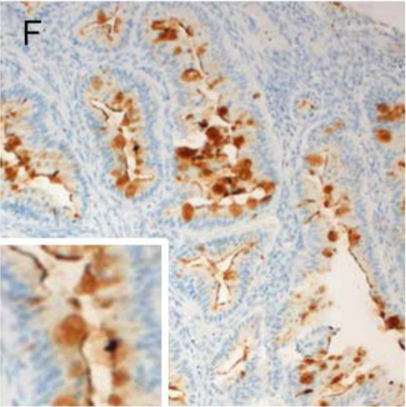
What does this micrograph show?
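The glands are lined by columnar cells with blue, elongated nuclei. Clusters of rounded goblet-like cells with brown cytoplasm gather at the gland lumens, and brown material edges the luminal borders. The surrounding stroma and most lining cells remain blue.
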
